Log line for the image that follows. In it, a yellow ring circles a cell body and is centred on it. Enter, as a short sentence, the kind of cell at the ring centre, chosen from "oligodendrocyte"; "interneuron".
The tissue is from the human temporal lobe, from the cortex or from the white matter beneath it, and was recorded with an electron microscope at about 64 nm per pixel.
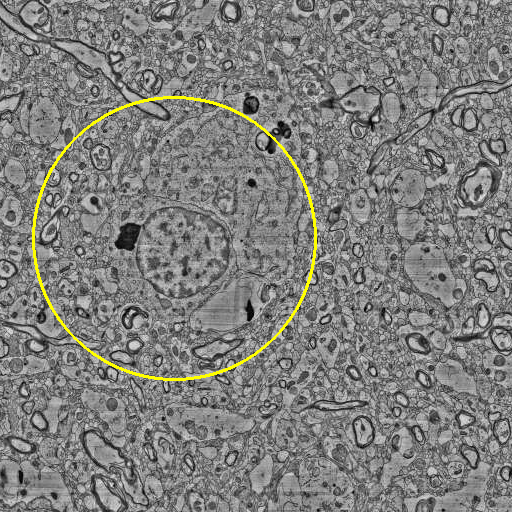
The ring centre is occupied by an oligodendrocyte.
